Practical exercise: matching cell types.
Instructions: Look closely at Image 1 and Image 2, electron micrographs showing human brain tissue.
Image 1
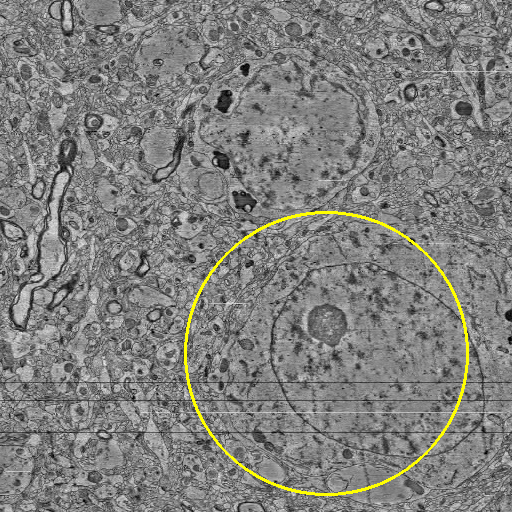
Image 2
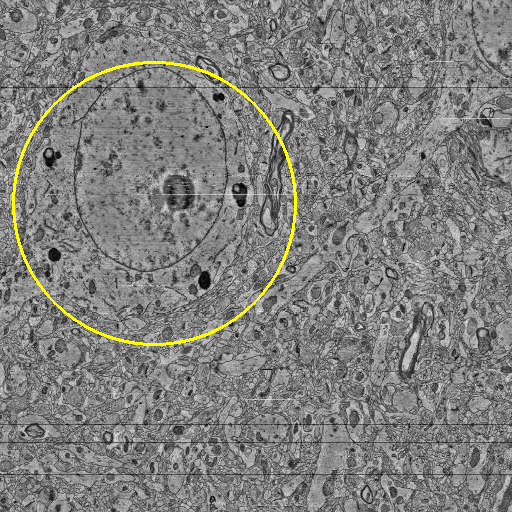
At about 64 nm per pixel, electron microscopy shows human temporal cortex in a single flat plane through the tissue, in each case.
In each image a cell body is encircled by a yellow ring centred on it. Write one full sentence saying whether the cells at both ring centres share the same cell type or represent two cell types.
Across Image 1 and Image 2, the cells at the ring centres share the same cell type.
